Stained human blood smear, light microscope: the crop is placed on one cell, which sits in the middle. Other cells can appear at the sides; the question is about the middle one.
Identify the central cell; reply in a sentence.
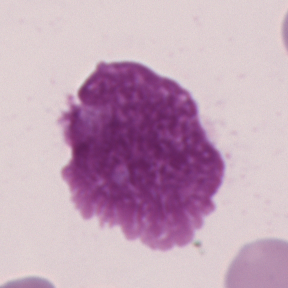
The cell nearest the centre of this crop is a smudge cell.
